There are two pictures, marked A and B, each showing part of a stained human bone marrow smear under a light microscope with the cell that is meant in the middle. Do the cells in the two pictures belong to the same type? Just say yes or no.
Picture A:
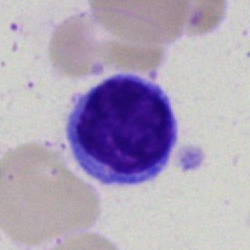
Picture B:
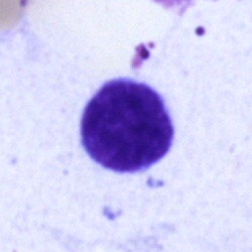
yes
